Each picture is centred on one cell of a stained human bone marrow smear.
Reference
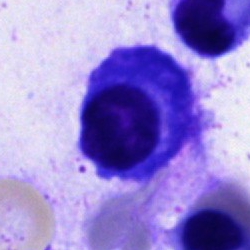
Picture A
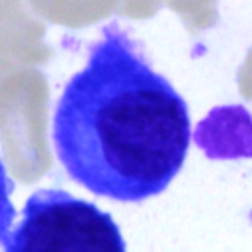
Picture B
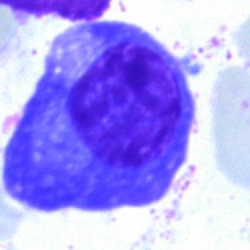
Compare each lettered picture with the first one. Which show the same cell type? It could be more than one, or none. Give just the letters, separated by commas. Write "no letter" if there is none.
A, B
